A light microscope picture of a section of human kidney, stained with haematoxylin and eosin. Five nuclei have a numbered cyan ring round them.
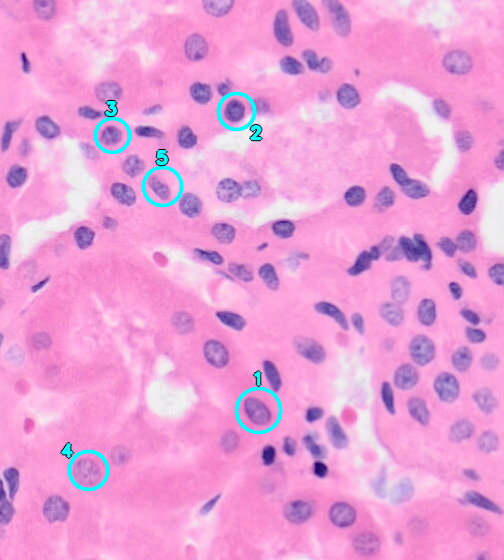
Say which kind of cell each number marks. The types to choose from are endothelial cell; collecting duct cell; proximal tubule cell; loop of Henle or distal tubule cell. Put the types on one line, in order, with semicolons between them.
proximal tubule cell; loop of Henle or distal tubule cell; loop of Henle or distal tubule cell; proximal tubule cell; loop of Henle or distal tubule cell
